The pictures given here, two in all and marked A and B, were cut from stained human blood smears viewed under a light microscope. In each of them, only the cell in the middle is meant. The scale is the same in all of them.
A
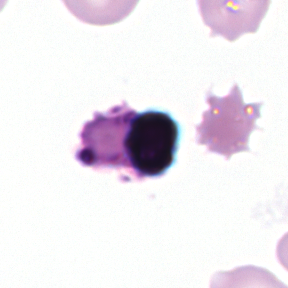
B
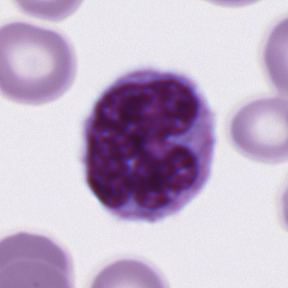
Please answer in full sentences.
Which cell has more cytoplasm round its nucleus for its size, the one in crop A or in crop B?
The nucleus fills less of the cell in crop A than in crop B.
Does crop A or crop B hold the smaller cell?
Crop A holds the smaller cell, since the cell in crop B covers about 3 times as much area.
